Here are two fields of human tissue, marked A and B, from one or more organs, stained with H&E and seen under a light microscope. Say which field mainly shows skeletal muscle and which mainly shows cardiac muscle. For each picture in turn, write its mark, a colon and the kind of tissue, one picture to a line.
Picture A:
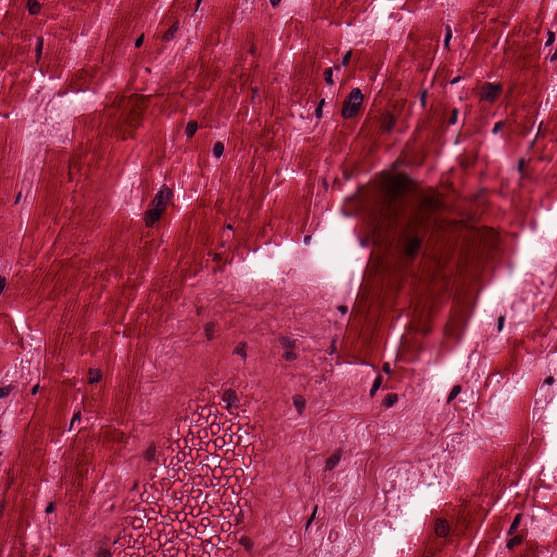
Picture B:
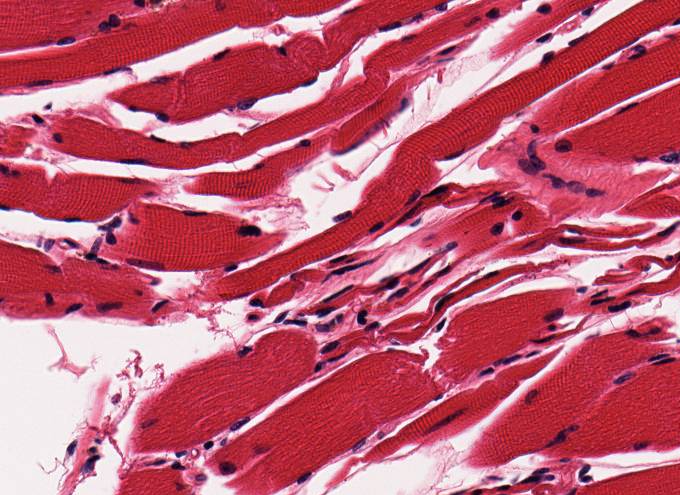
A: cardiac muscle
B: skeletal muscle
